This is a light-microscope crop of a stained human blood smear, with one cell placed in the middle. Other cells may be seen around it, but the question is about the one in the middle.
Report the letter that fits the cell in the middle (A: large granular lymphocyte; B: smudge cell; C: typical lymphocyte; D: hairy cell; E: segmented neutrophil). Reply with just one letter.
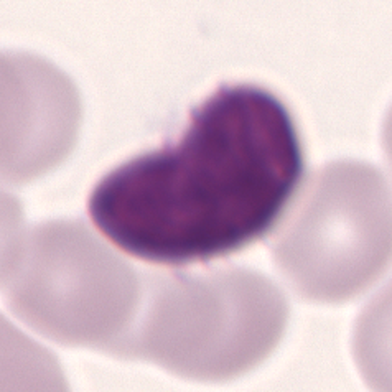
B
